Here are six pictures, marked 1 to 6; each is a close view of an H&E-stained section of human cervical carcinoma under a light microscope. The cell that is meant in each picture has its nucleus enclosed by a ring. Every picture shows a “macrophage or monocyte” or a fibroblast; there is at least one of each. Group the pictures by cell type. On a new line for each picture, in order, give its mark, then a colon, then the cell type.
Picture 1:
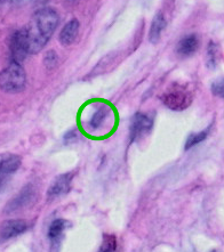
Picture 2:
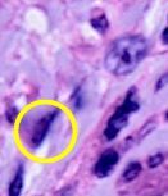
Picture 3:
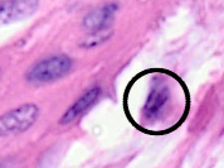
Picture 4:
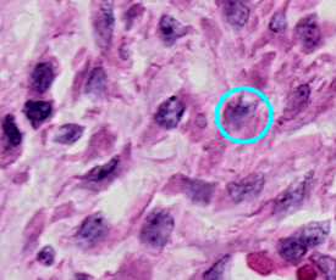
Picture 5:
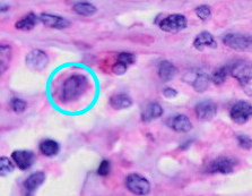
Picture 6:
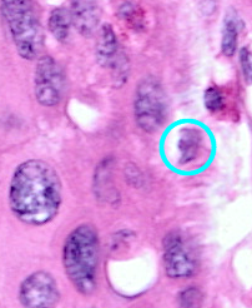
1: fibroblast
2: macrophage or monocyte
3: macrophage or monocyte
4: fibroblast
5: macrophage or monocyte
6: macrophage or monocyte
